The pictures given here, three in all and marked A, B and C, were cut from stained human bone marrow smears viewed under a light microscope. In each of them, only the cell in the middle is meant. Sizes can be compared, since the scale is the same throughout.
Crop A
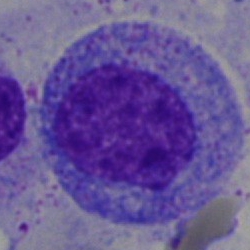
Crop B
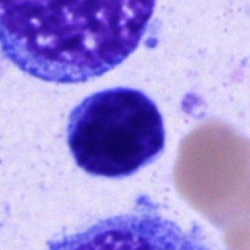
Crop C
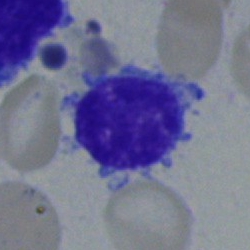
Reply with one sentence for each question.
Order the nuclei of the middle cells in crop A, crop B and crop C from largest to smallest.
The order is A, C, B, beginning with the largest.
